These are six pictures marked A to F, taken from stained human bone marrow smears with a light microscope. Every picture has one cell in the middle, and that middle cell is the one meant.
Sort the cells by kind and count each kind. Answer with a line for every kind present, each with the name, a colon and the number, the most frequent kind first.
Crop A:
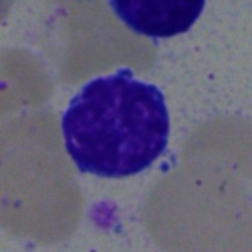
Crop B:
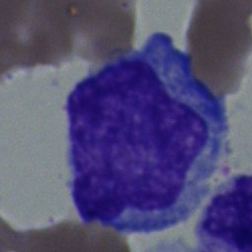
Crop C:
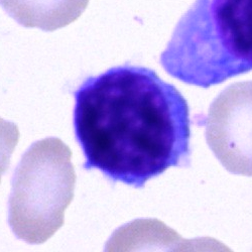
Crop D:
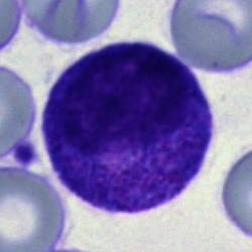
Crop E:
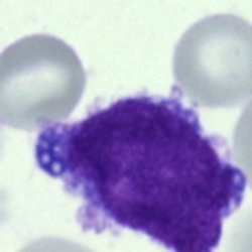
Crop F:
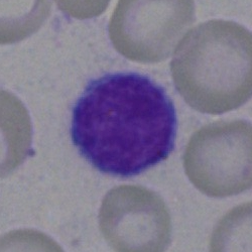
lymphocyte: 3
blast: 2
promyelocyte: 1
